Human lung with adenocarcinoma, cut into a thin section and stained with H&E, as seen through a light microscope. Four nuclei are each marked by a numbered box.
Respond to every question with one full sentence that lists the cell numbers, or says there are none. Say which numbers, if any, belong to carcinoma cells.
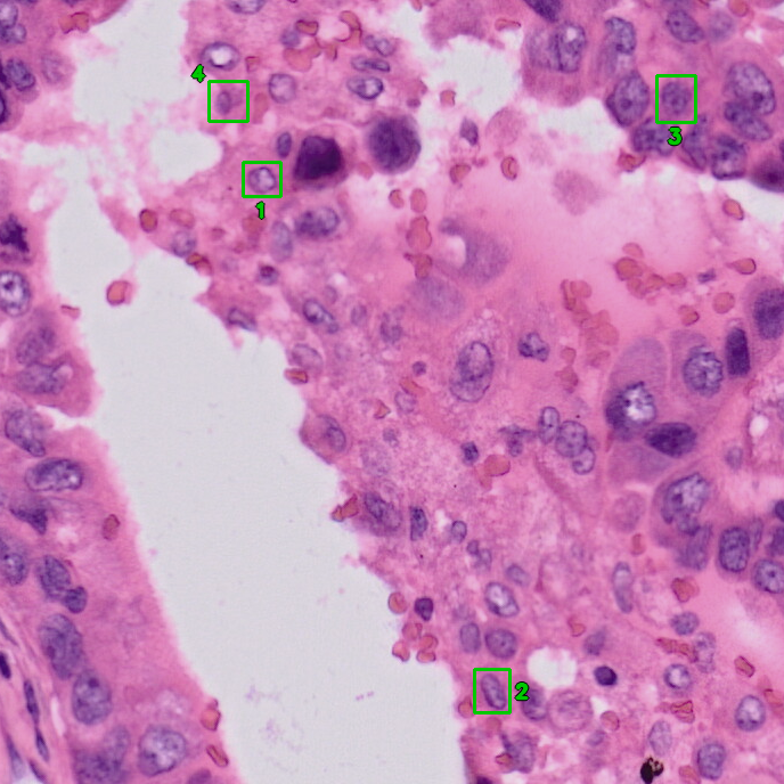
Only at number 3 is there a carcinoma cell.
